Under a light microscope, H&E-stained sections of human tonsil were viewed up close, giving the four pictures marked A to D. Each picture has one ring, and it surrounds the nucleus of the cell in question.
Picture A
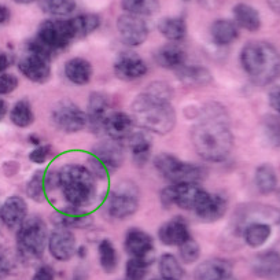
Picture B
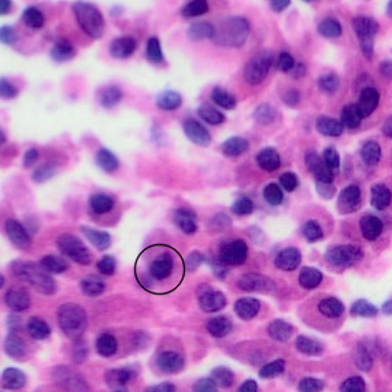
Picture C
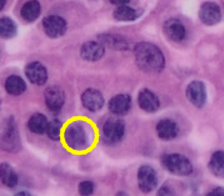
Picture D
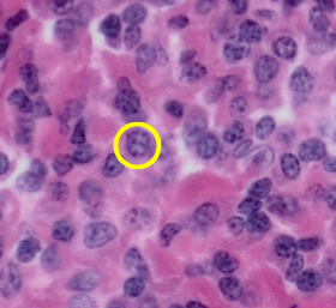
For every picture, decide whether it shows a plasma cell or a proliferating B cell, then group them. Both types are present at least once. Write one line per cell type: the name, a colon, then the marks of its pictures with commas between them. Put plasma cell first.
plasma cell: B, C, D
proliferating B cell: A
